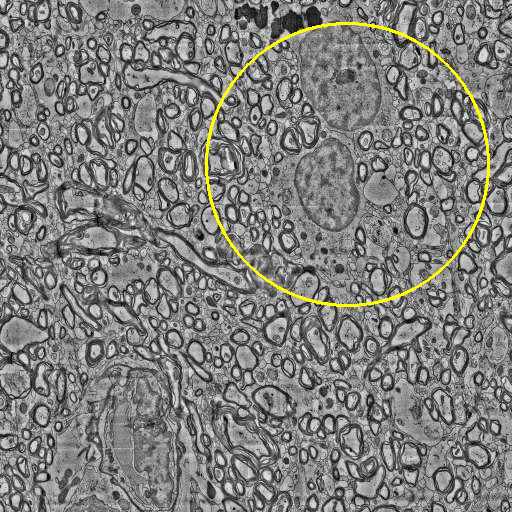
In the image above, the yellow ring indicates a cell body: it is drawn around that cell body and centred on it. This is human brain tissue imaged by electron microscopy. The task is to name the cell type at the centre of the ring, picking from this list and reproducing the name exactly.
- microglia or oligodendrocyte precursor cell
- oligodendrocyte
oligodendrocyte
